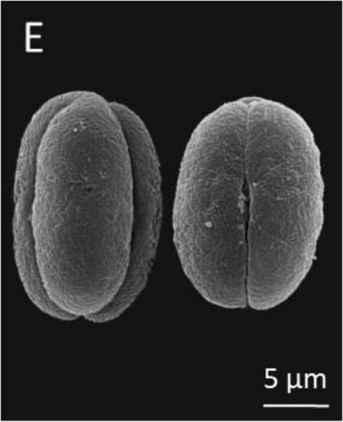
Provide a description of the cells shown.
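Two pollen grains lie side by side, seen from the side in a scanning electron micrograph. Long narrow furrows run from end to end along the grains. The left grain shows two furrows that split its surface into long lobes. The right grain shows one central furrow facing the viewer. The outer surface of both grains is finely wrinkled and slightly uneven, with a few small particles stuck to it.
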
